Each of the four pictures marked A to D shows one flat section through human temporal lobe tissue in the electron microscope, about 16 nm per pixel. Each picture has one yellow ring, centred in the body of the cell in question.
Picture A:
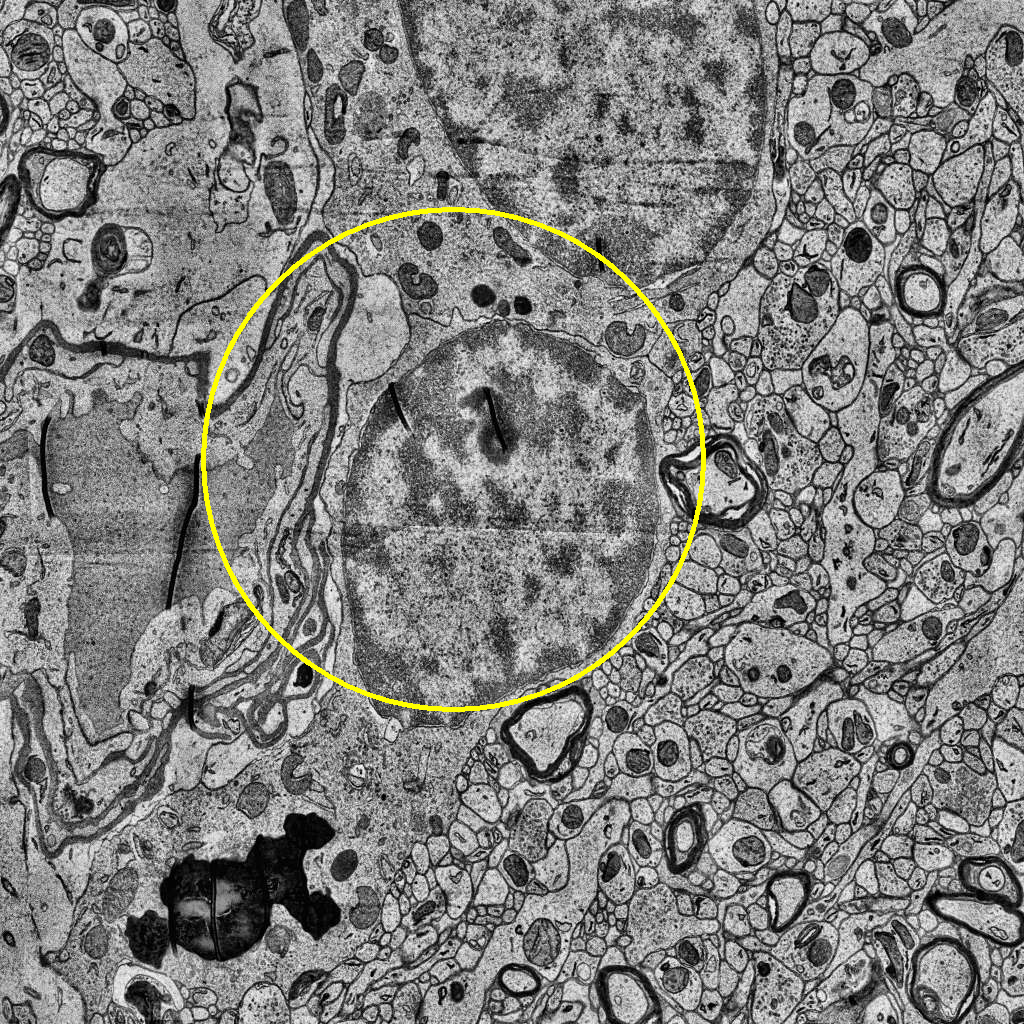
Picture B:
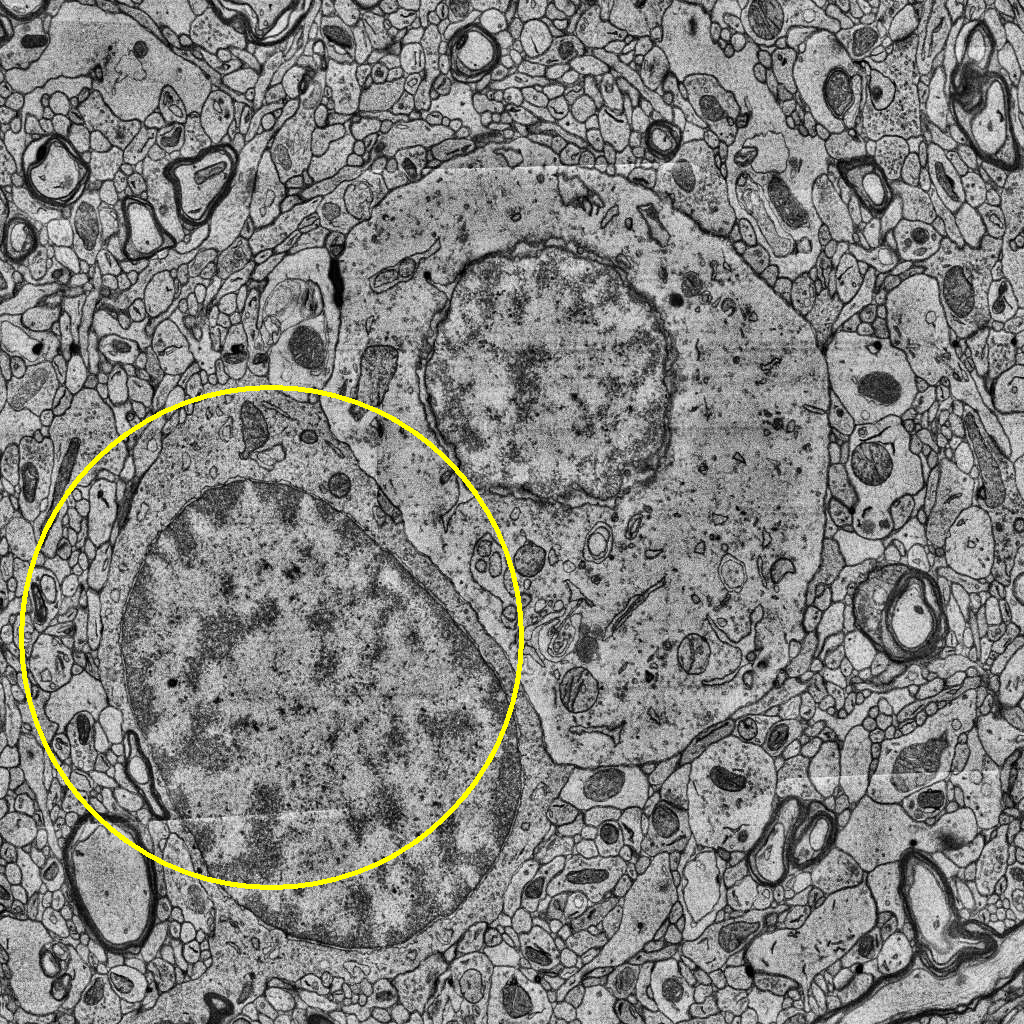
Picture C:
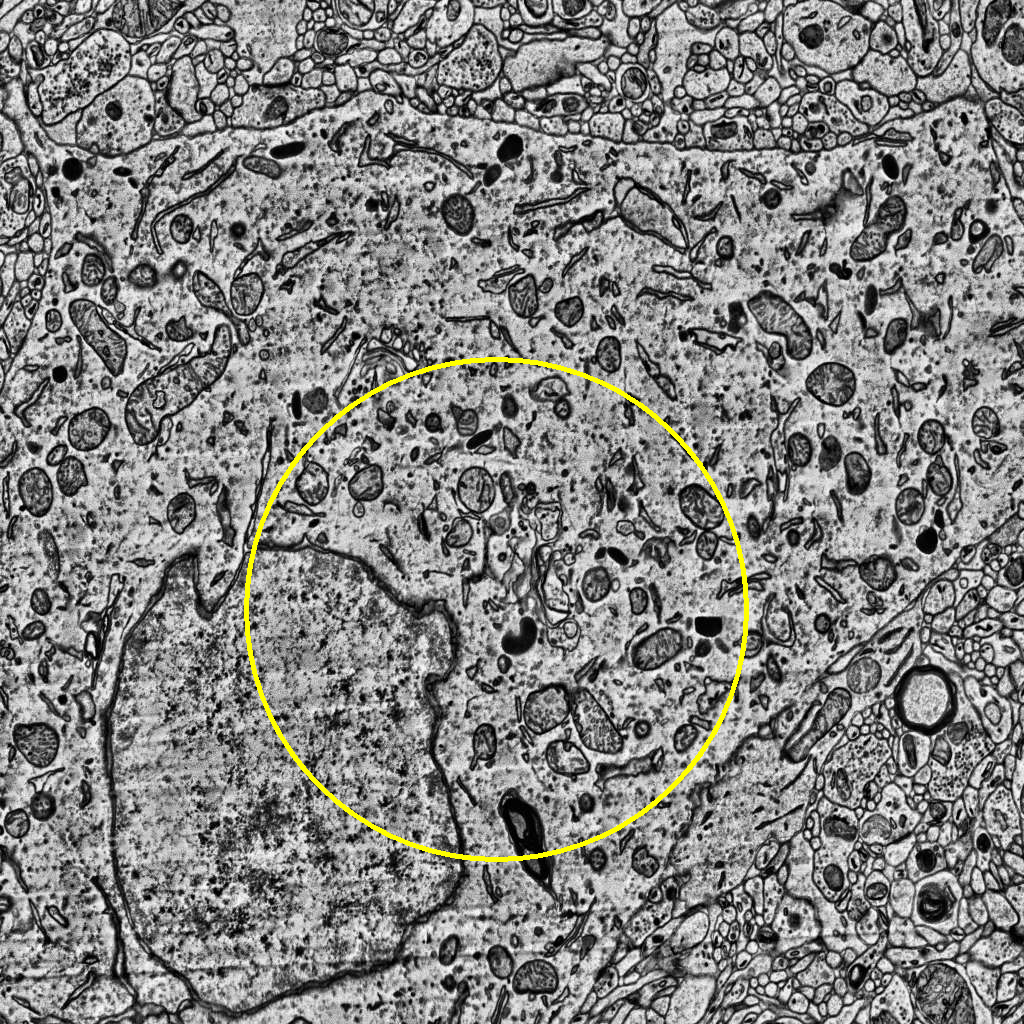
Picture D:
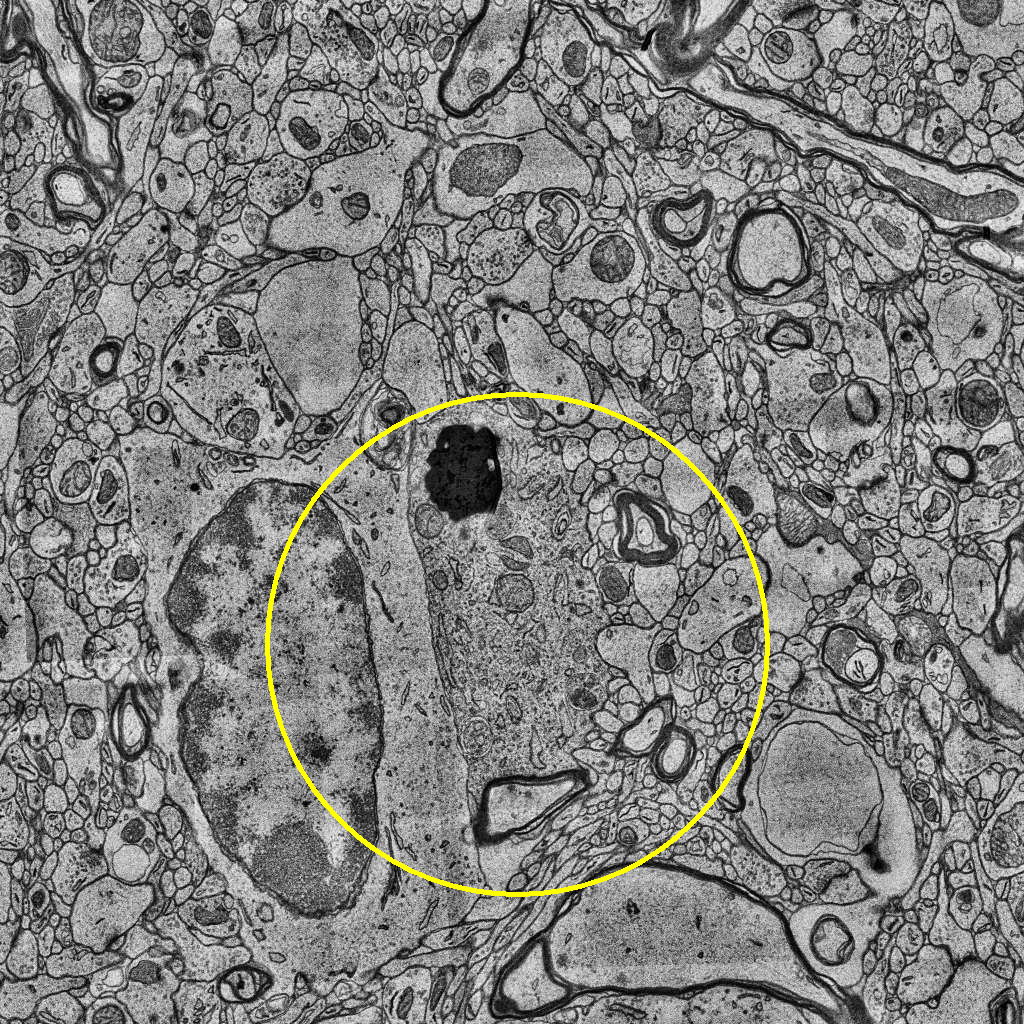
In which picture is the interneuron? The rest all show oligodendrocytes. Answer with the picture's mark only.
C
